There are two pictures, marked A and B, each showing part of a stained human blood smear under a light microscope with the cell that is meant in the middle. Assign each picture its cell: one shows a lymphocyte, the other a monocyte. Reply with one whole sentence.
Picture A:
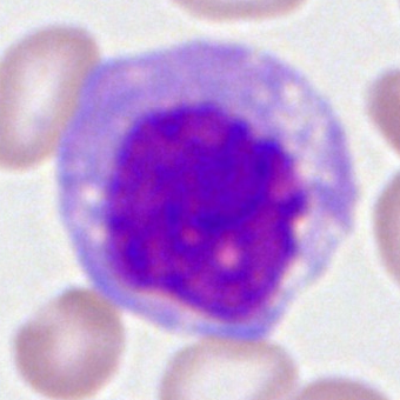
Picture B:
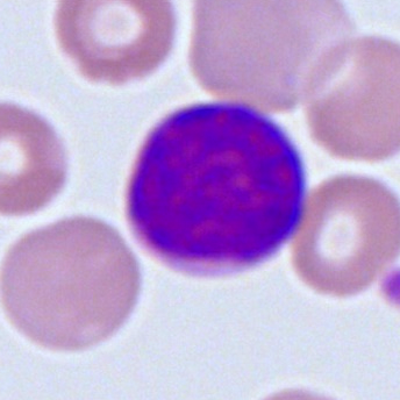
Picture A shows a monocyte and picture B shows a lymphocyte.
